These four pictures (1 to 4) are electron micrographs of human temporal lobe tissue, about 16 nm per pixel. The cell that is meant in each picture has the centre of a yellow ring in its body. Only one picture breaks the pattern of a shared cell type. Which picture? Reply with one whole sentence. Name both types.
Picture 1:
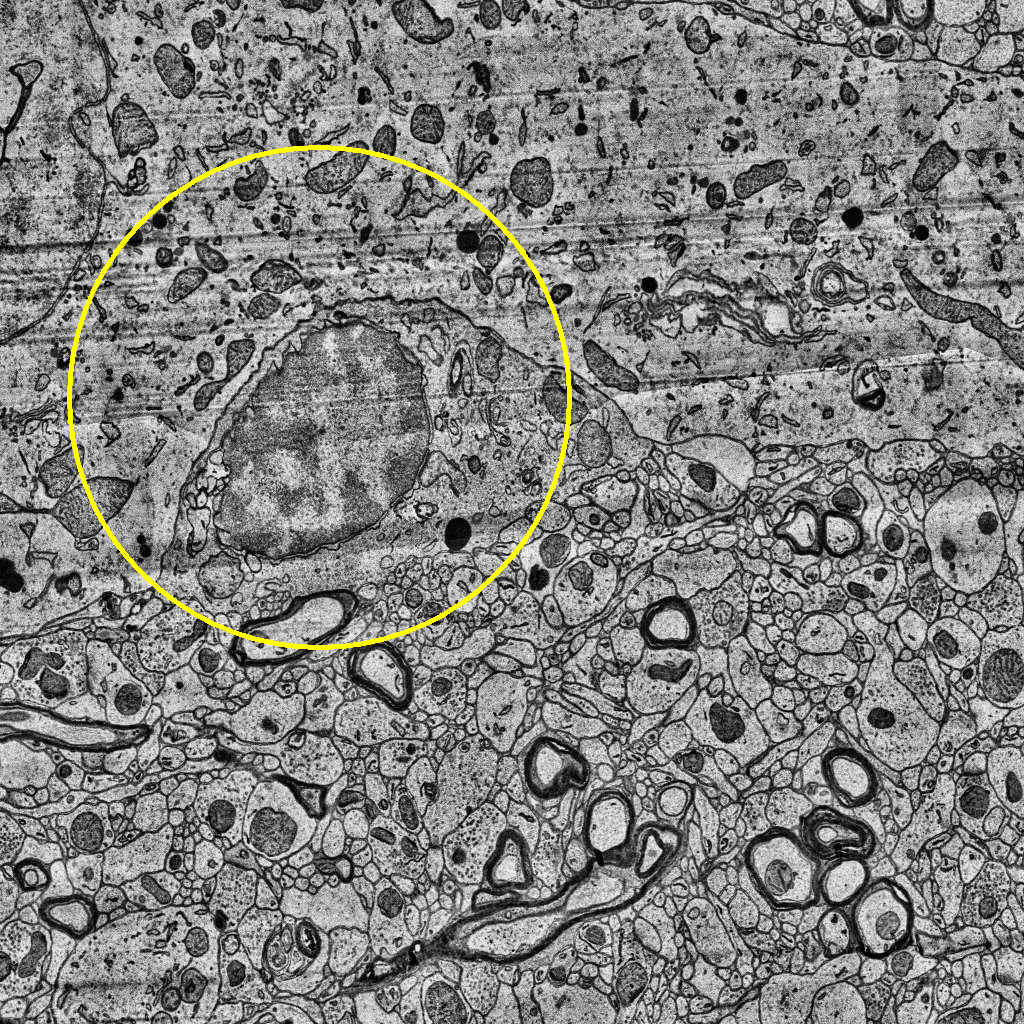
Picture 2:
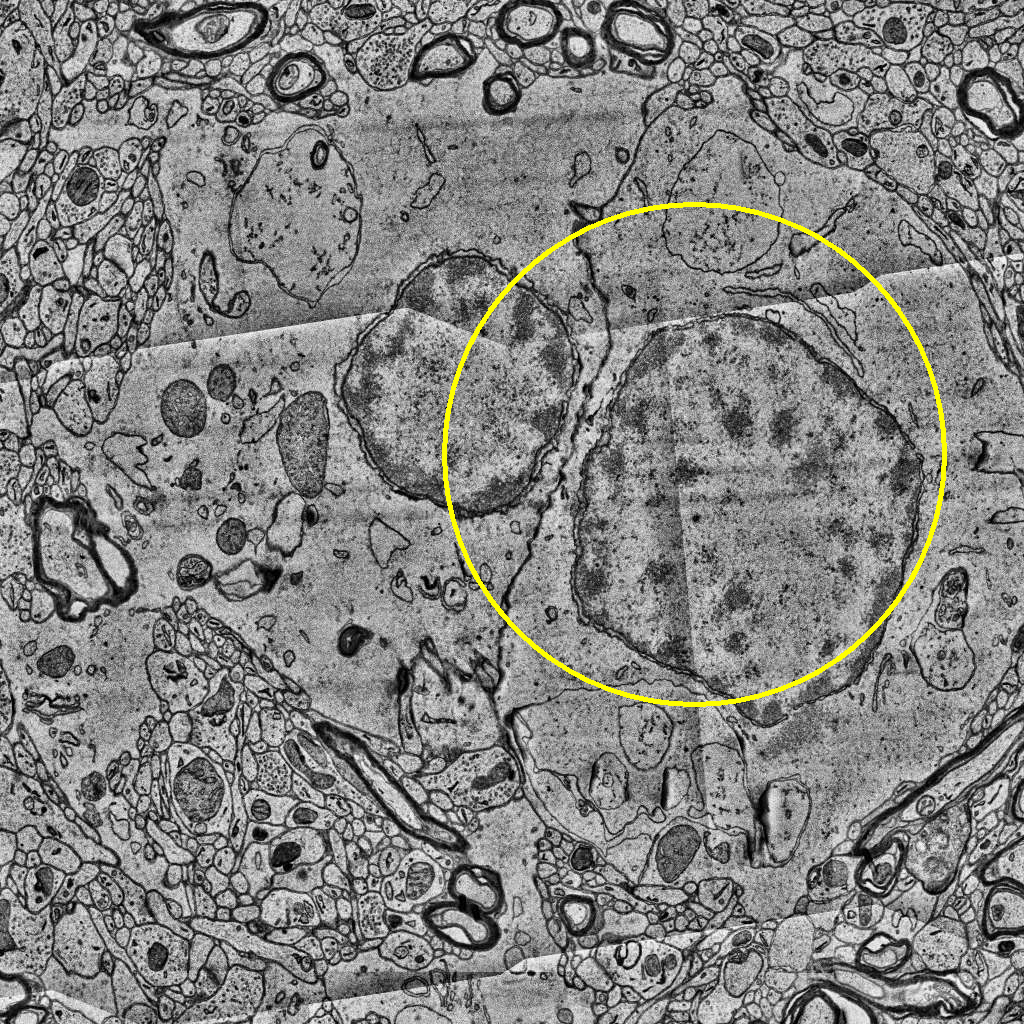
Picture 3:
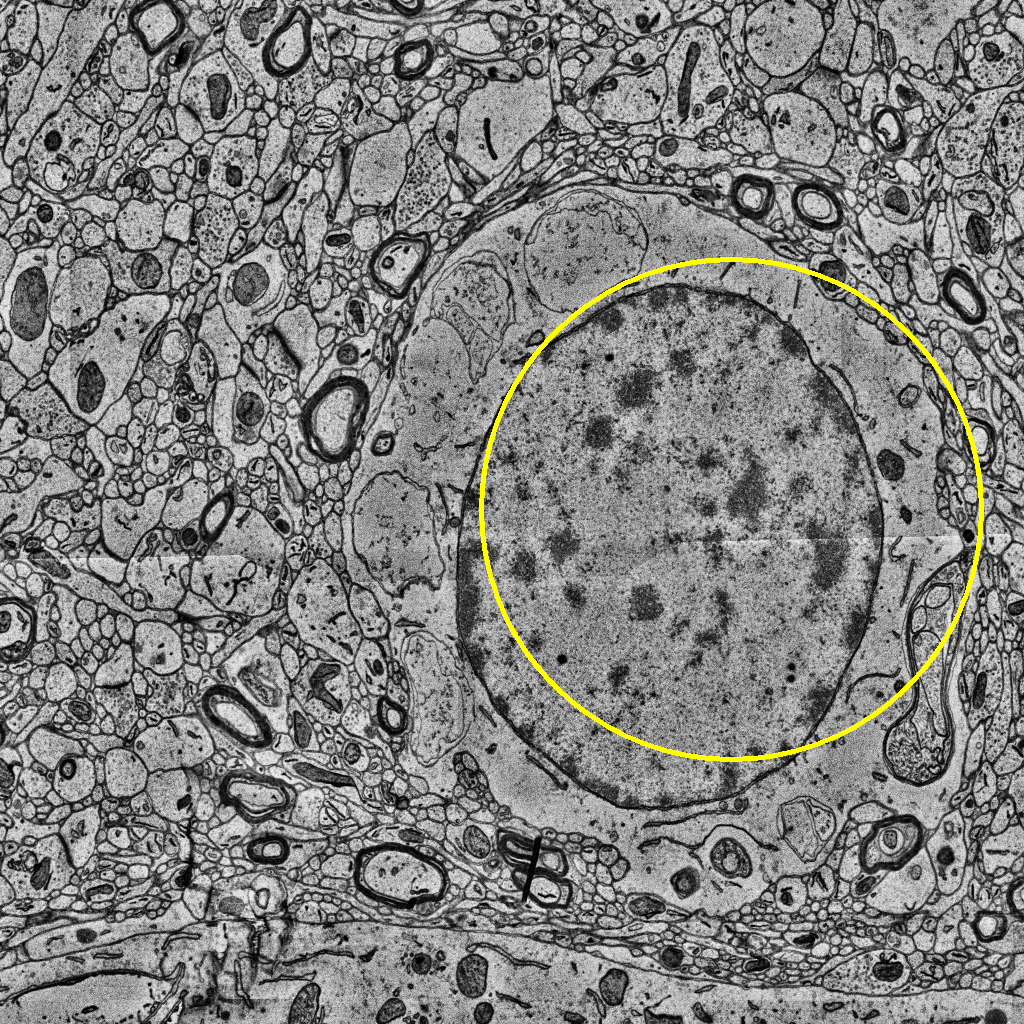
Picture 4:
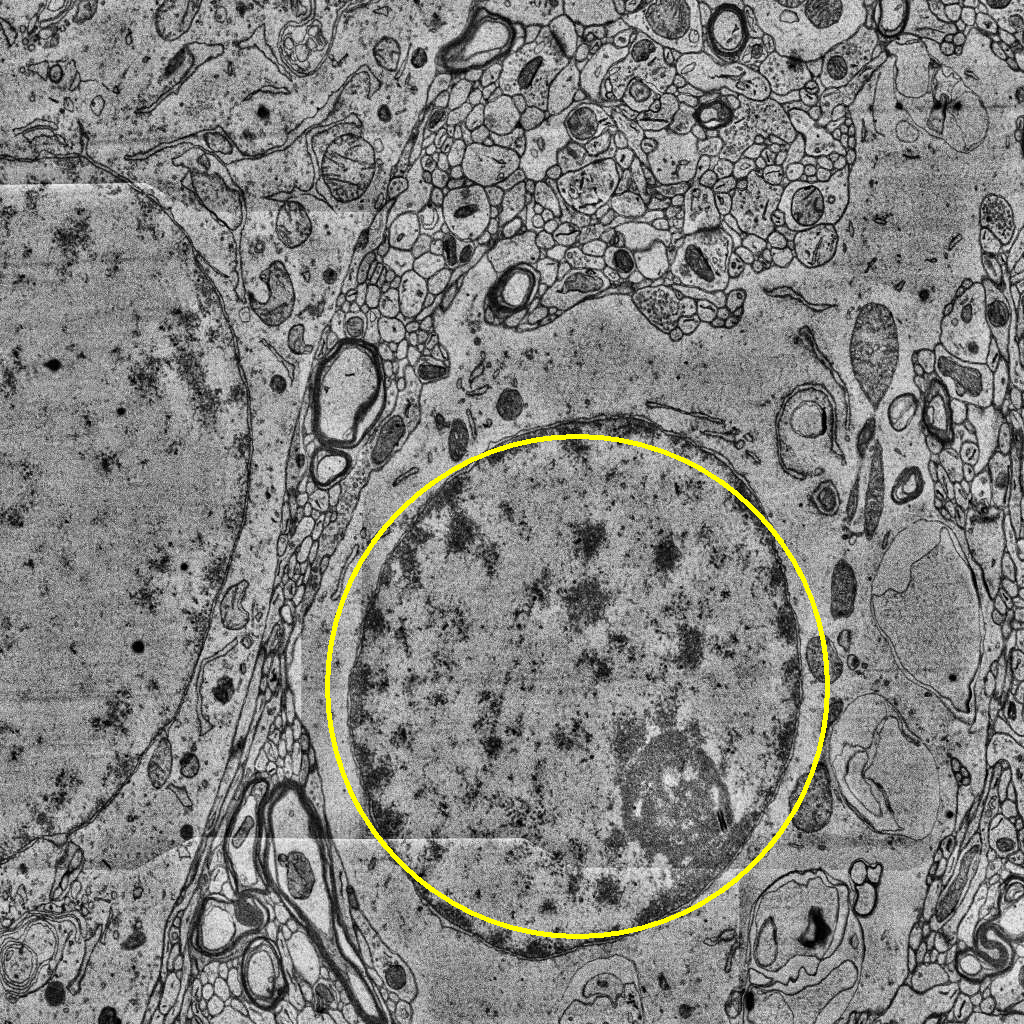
Picture 1 differs, because its cell is an oligodendrocyte and the rest are astrocytes.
